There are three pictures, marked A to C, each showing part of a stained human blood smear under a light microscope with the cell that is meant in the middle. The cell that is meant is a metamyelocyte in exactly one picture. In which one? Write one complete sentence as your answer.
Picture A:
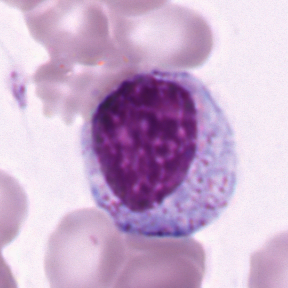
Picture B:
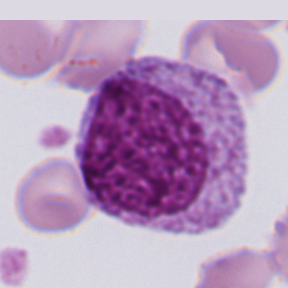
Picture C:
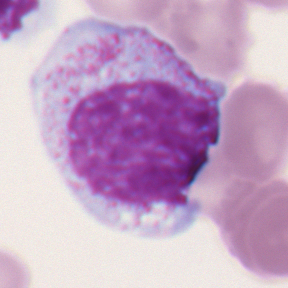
The picture with the metamyelocyte is A.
